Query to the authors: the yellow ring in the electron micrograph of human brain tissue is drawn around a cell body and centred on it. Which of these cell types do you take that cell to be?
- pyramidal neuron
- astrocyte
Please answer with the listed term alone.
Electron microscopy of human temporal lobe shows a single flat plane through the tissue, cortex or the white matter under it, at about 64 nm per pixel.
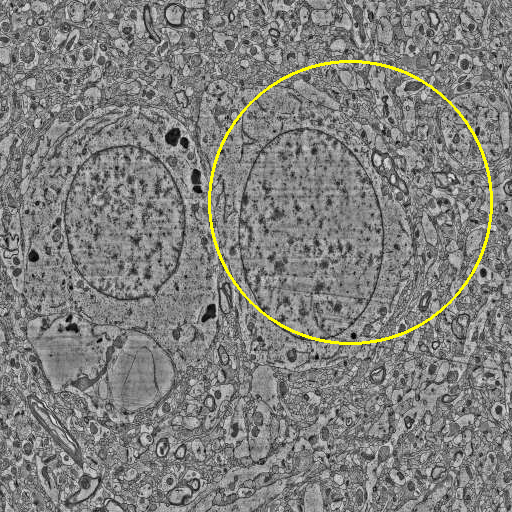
pyramidal neuron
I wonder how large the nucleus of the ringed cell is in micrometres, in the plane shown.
Approximately 14 x 9 micrometres in this plane.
